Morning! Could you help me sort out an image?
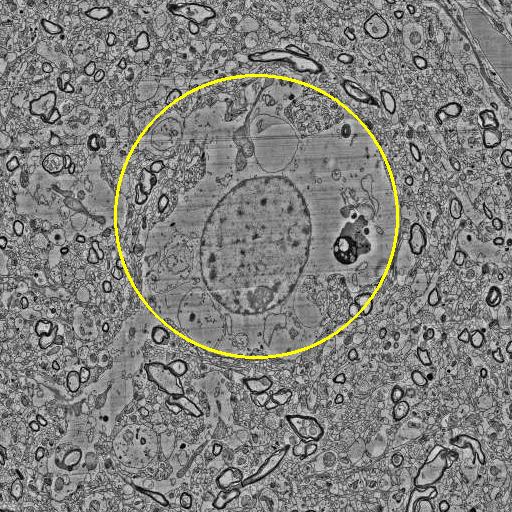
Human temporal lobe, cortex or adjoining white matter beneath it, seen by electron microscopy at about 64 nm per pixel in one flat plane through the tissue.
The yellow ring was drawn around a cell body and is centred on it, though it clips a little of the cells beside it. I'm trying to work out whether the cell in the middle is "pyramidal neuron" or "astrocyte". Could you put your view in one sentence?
The ringed cell body is that of an astrocyte.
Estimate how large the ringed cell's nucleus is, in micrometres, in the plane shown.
In this plane, about 9 micrometres in length and 7 in width.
